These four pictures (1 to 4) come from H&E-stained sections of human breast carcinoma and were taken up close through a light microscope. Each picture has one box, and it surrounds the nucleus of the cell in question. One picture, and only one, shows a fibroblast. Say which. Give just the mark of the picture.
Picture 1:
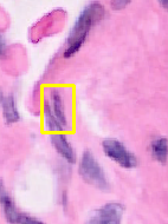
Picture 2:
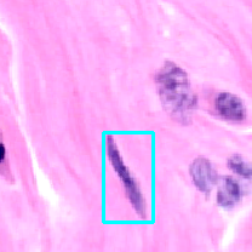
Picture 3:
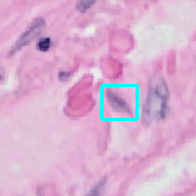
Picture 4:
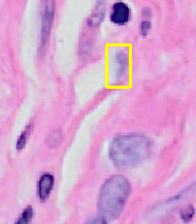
2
